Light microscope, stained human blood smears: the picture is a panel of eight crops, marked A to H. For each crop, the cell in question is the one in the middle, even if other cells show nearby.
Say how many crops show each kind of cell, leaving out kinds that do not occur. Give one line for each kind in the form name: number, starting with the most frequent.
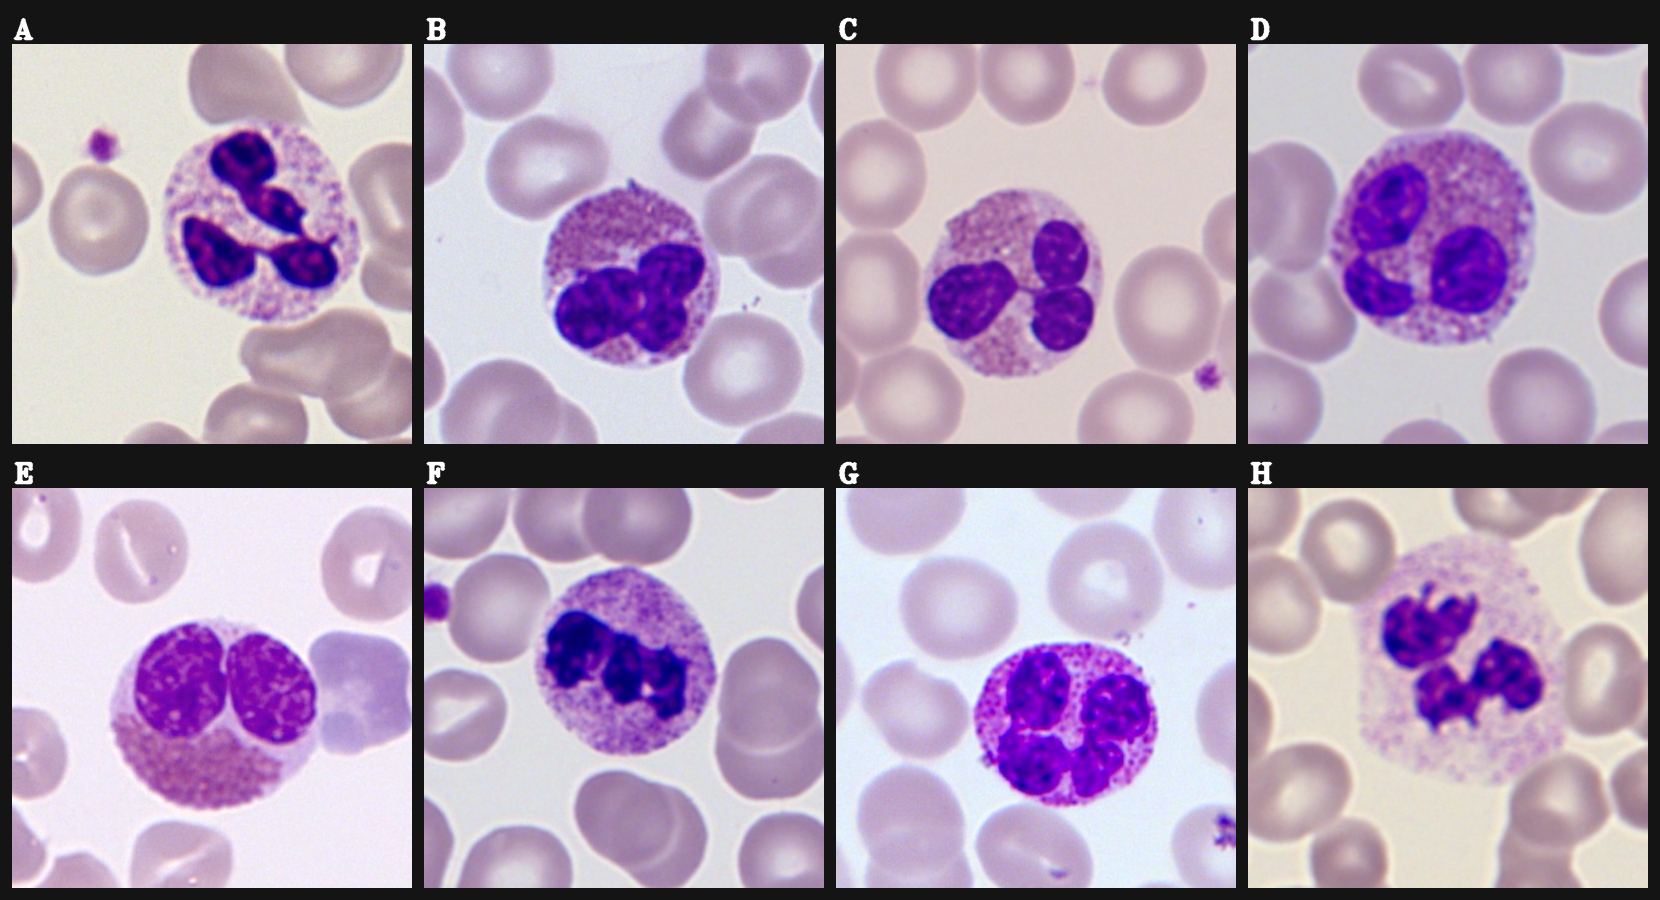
eosinophil: 5
segmented neutrophil: 3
